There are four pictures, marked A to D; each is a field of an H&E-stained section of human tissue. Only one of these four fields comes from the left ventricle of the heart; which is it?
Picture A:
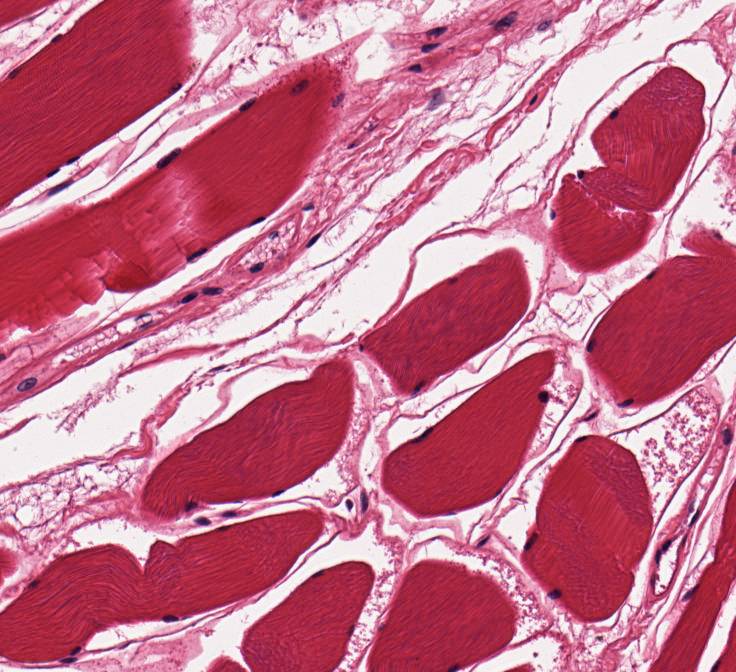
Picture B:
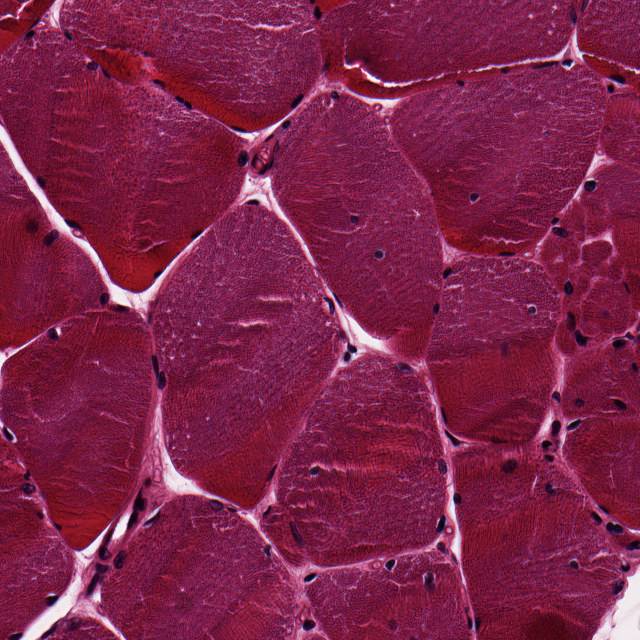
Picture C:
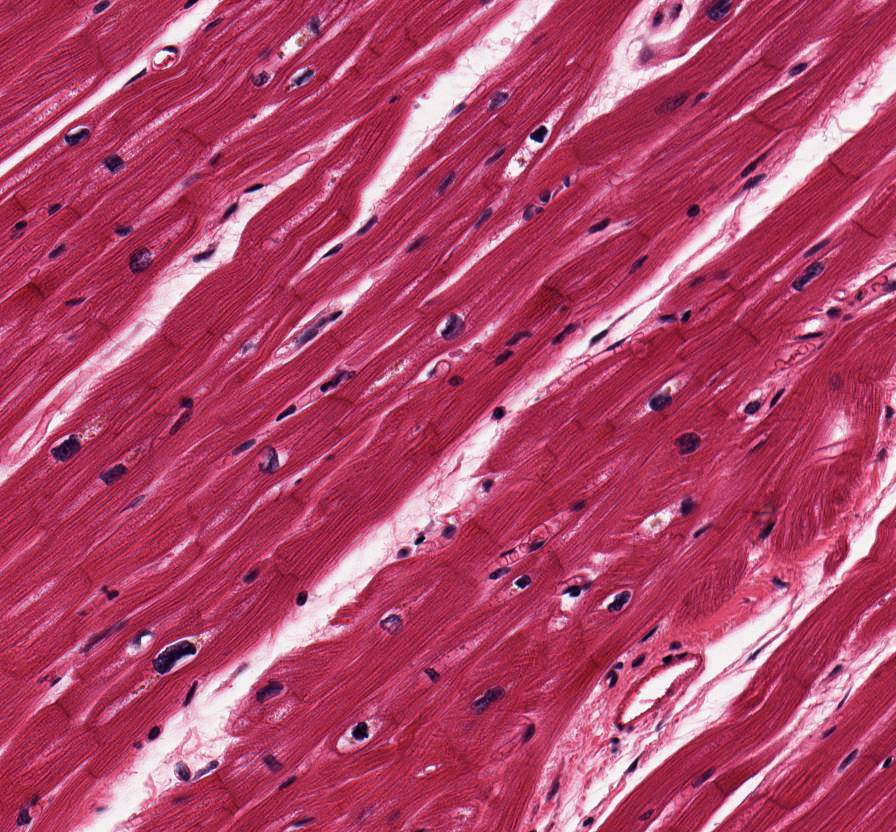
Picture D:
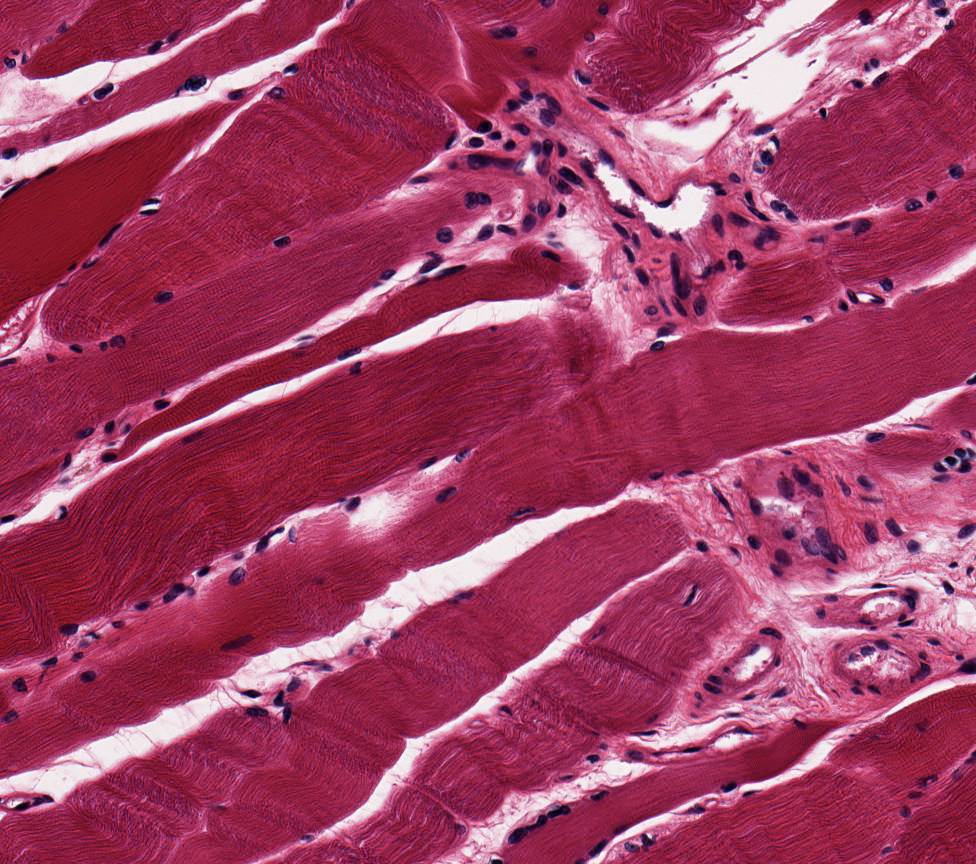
C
